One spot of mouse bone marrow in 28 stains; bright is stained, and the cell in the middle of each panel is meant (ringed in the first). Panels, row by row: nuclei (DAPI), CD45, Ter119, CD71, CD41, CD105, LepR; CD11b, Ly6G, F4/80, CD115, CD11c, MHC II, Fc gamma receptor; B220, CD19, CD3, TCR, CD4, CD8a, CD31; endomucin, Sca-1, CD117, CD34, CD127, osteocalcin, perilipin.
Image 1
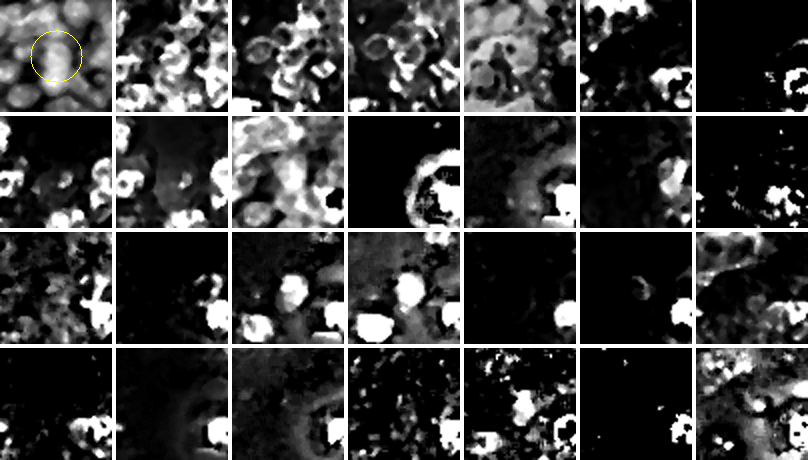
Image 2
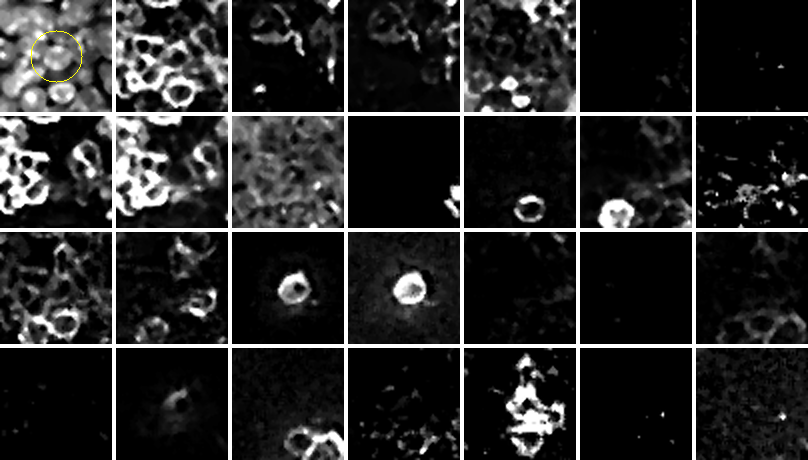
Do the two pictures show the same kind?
Yes, both are double-negative T cells.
